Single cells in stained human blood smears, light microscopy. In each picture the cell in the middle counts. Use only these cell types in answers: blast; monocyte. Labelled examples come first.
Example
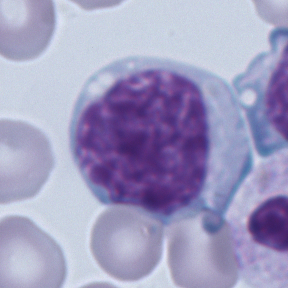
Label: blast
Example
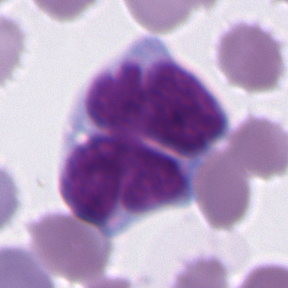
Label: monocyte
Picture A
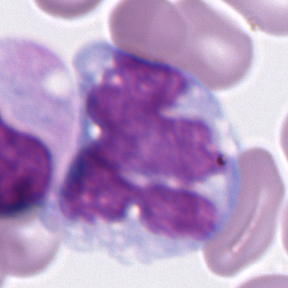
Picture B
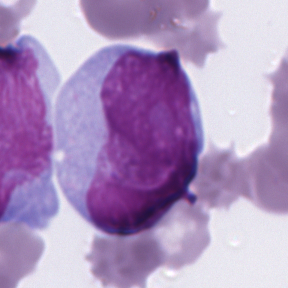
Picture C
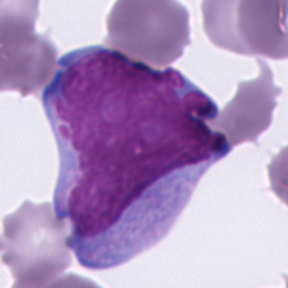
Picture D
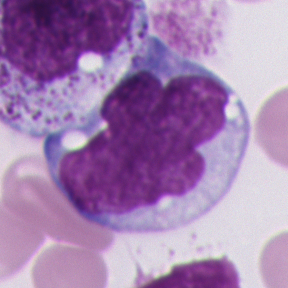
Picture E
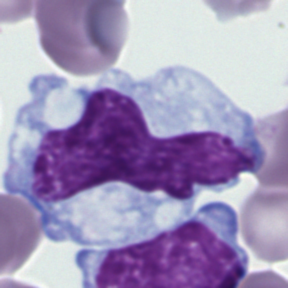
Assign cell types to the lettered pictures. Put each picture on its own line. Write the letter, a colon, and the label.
A: monocyte
B: blast
C: blast
D: monocyte
E: monocyte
